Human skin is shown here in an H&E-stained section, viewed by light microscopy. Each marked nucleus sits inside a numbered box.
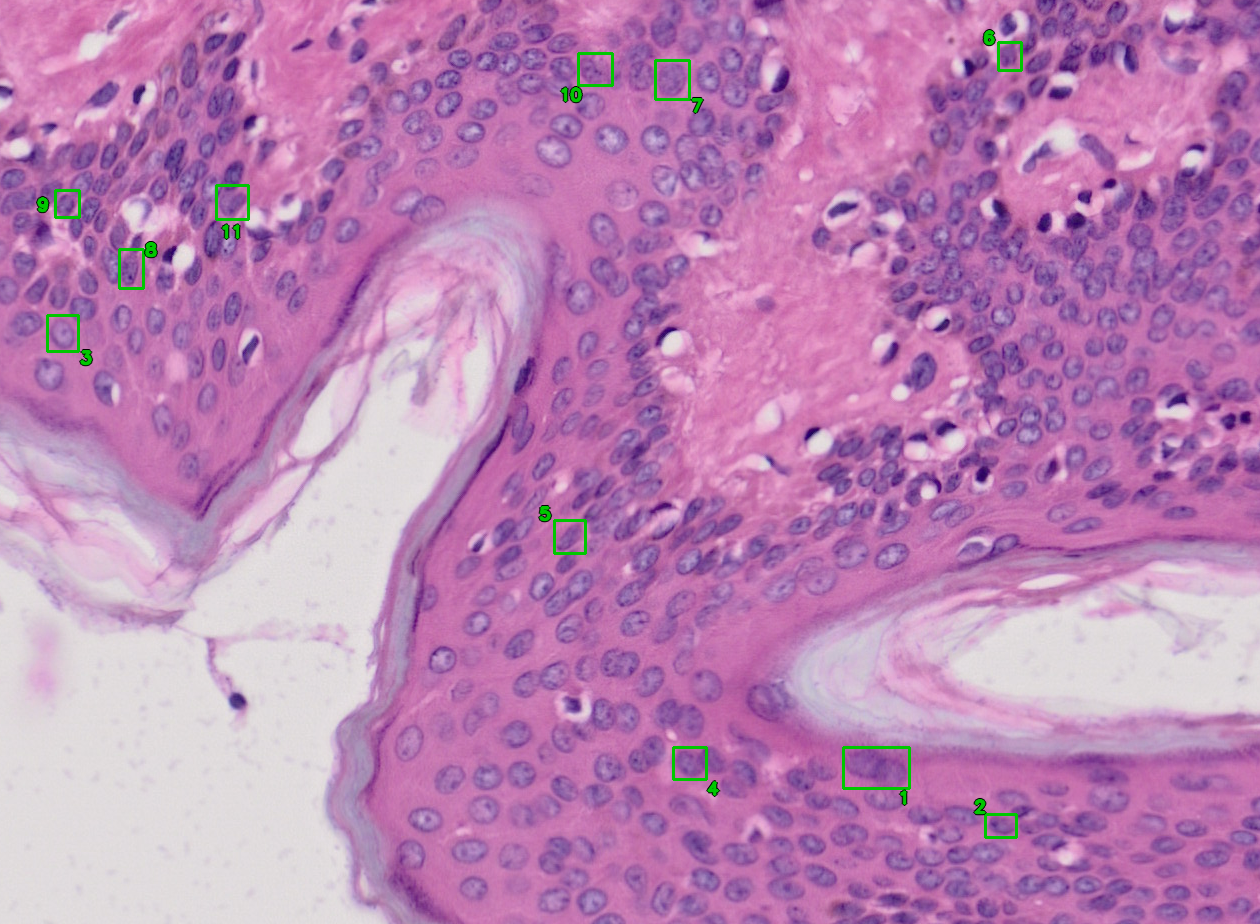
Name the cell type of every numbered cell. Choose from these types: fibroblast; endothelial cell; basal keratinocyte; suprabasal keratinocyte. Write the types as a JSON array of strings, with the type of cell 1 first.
["suprabasal keratinocyte", "suprabasal keratinocyte", "suprabasal keratinocyte", "suprabasal keratinocyte", "basal keratinocyte", "basal keratinocyte", "suprabasal keratinocyte", "basal keratinocyte", "basal keratinocyte", "basal keratinocyte", "basal keratinocyte"]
